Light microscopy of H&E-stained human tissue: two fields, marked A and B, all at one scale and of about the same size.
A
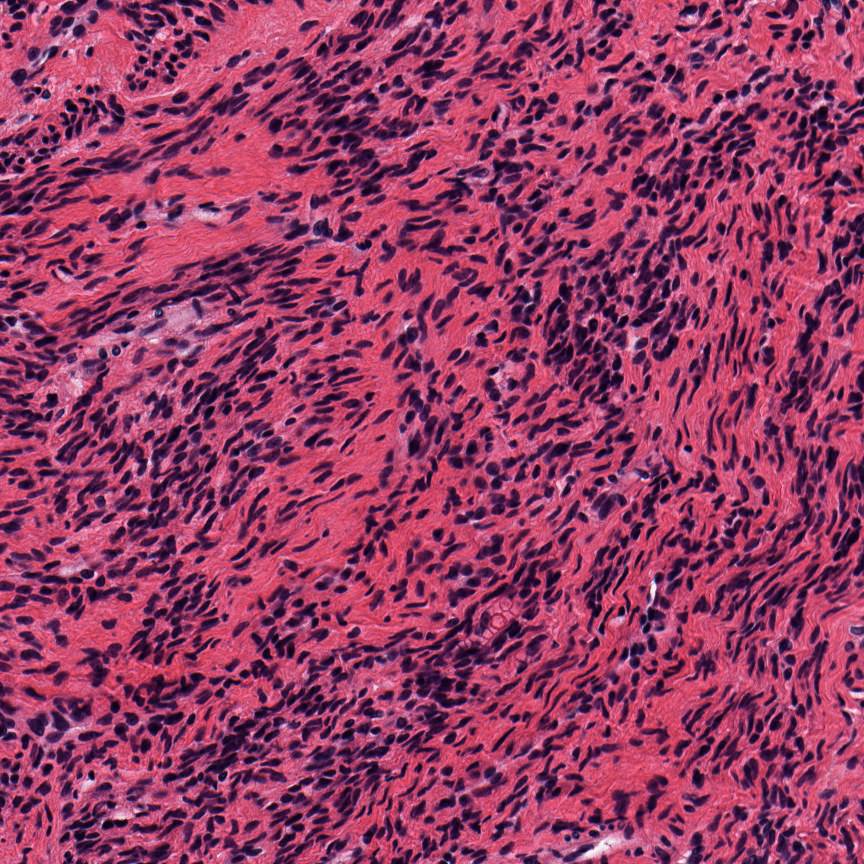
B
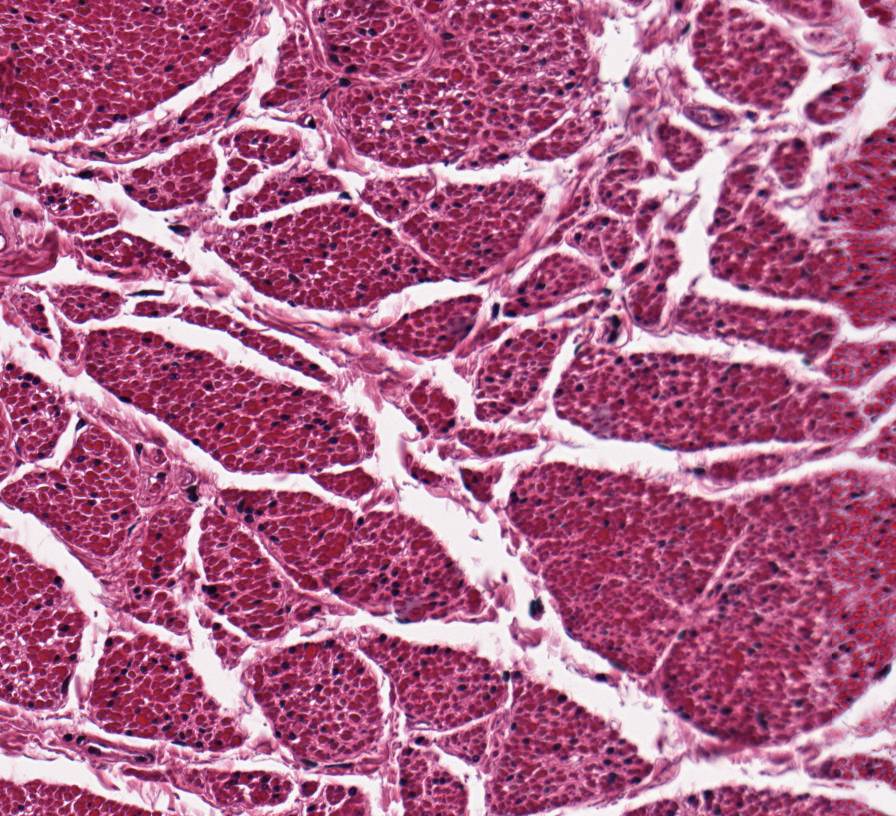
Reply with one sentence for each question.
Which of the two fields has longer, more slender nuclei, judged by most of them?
The nuclei are more elongated in field A.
